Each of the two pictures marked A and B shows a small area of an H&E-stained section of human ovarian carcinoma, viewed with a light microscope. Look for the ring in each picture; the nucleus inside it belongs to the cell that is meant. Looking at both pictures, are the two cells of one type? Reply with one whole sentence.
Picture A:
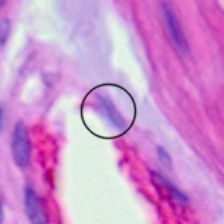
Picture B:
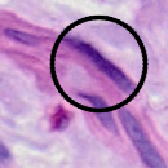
No, the types are not the same, since picture A shows an endothelial cell and picture B a smooth muscle cell.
